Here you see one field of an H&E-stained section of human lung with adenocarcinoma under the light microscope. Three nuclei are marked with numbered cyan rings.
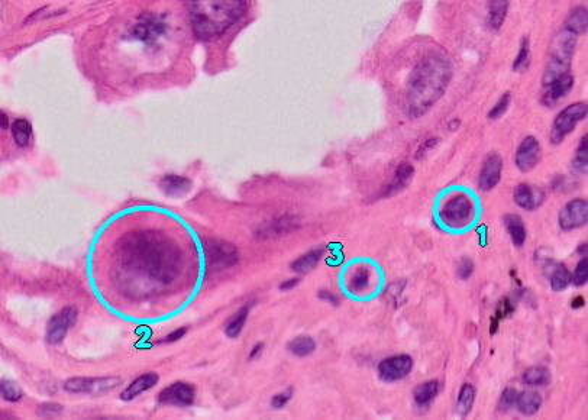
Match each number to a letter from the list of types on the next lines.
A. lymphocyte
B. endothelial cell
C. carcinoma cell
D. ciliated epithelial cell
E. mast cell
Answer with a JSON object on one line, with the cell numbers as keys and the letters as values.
{"1": "A", "2": "C", "3": "A"}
